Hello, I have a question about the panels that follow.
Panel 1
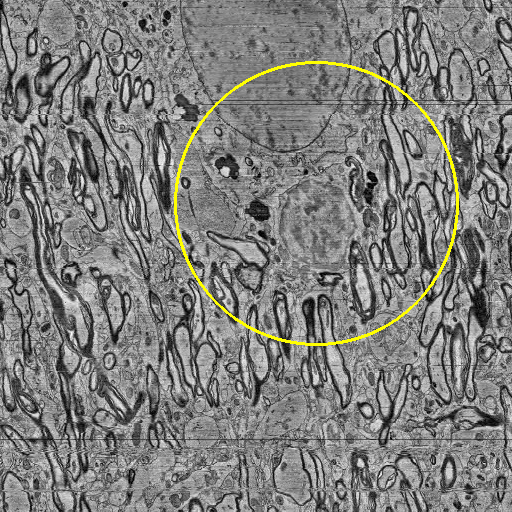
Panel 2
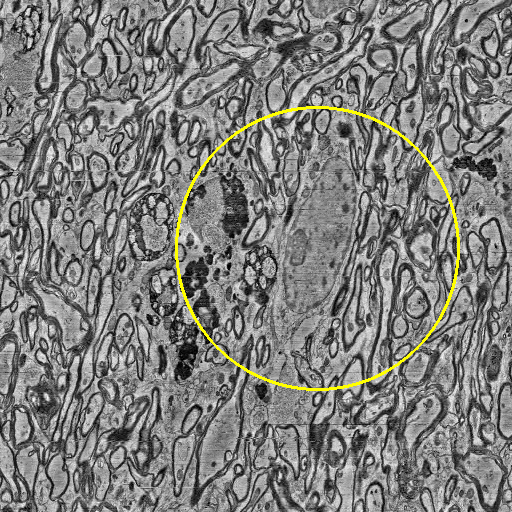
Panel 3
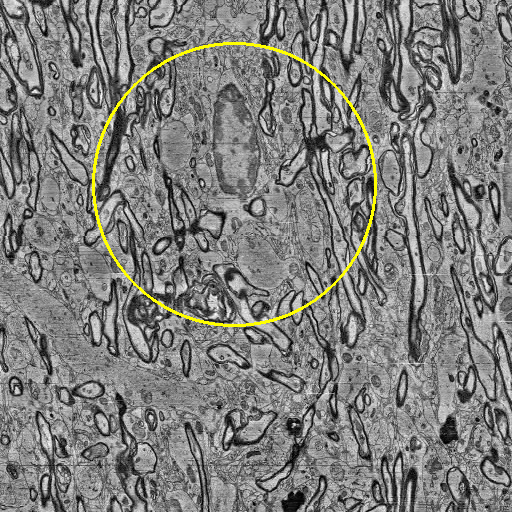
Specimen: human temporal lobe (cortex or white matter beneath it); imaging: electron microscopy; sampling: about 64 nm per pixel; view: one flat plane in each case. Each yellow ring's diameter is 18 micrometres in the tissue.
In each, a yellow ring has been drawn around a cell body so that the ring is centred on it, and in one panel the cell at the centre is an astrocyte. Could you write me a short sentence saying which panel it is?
It is Panel 2.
